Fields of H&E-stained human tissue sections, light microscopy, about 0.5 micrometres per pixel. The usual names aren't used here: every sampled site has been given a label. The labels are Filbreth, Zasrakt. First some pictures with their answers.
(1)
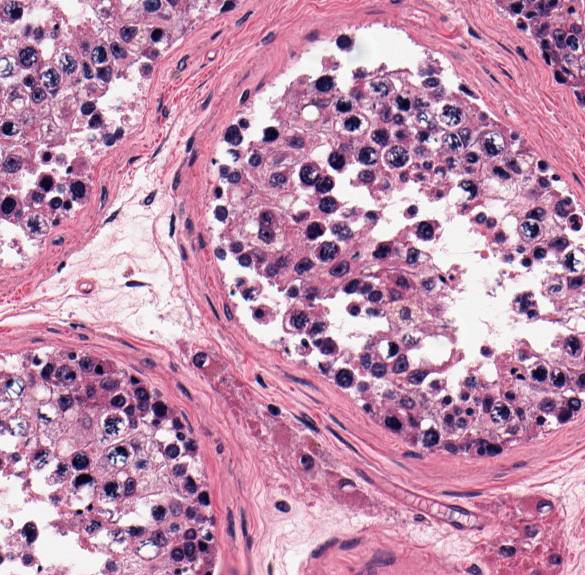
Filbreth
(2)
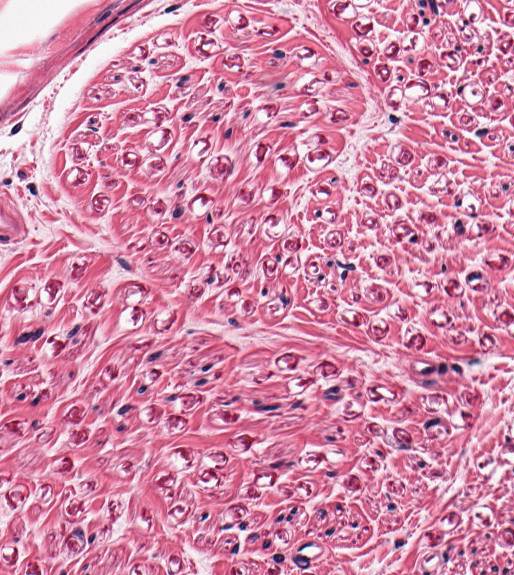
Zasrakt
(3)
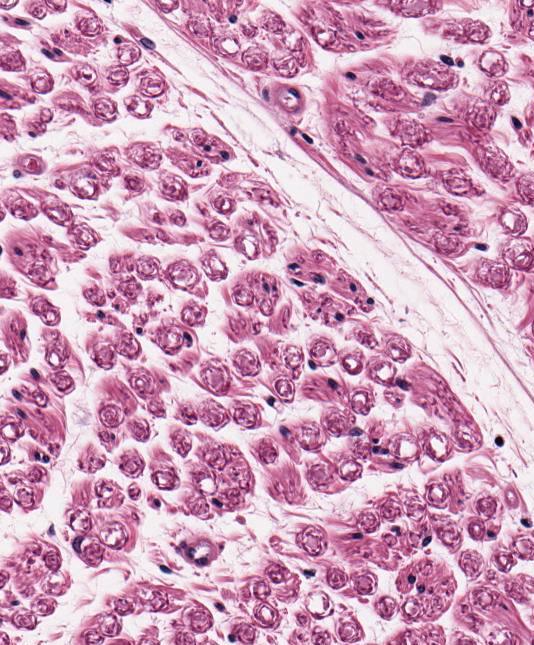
Zasrakt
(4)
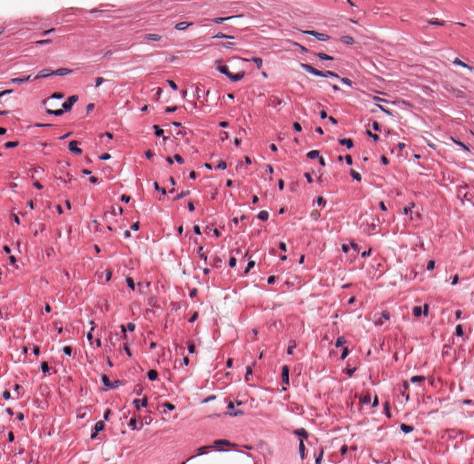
Zasrakt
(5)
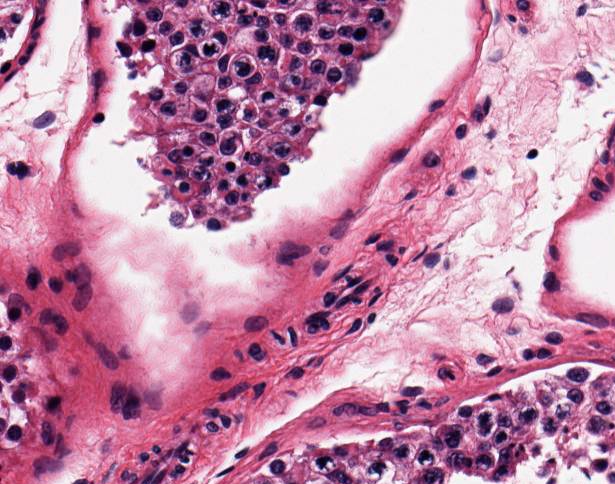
Filbreth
